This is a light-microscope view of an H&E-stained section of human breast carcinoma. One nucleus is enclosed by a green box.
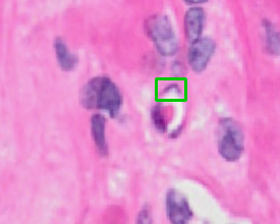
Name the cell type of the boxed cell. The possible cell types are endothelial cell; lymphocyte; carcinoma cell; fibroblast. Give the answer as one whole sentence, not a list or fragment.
In this section of tissue, the boxed cell is an endothelial cell.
